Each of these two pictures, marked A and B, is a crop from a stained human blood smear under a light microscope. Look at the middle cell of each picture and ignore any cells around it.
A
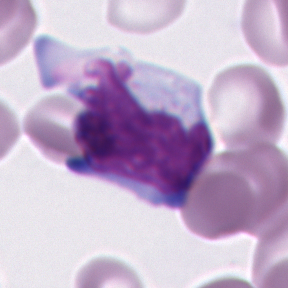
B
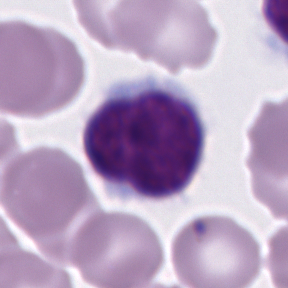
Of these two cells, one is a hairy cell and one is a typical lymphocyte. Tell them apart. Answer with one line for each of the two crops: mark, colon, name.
A: typical lymphocyte
B: hairy cell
